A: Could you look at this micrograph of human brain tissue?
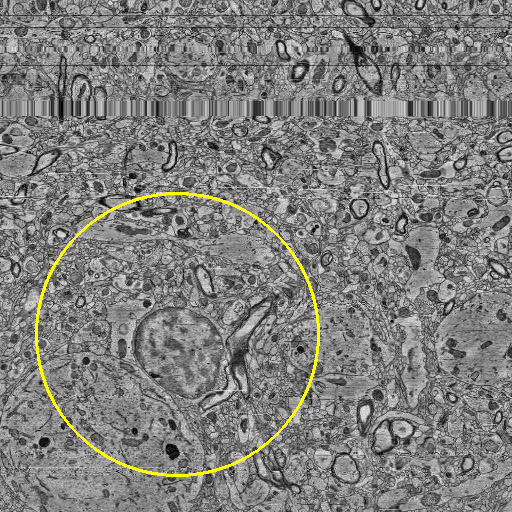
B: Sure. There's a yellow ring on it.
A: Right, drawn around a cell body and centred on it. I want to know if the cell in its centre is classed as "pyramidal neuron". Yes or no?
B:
no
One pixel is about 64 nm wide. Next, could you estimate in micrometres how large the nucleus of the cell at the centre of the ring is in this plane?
The nucleus of the ringed cell is approximately 6 micrometres across in this plane.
